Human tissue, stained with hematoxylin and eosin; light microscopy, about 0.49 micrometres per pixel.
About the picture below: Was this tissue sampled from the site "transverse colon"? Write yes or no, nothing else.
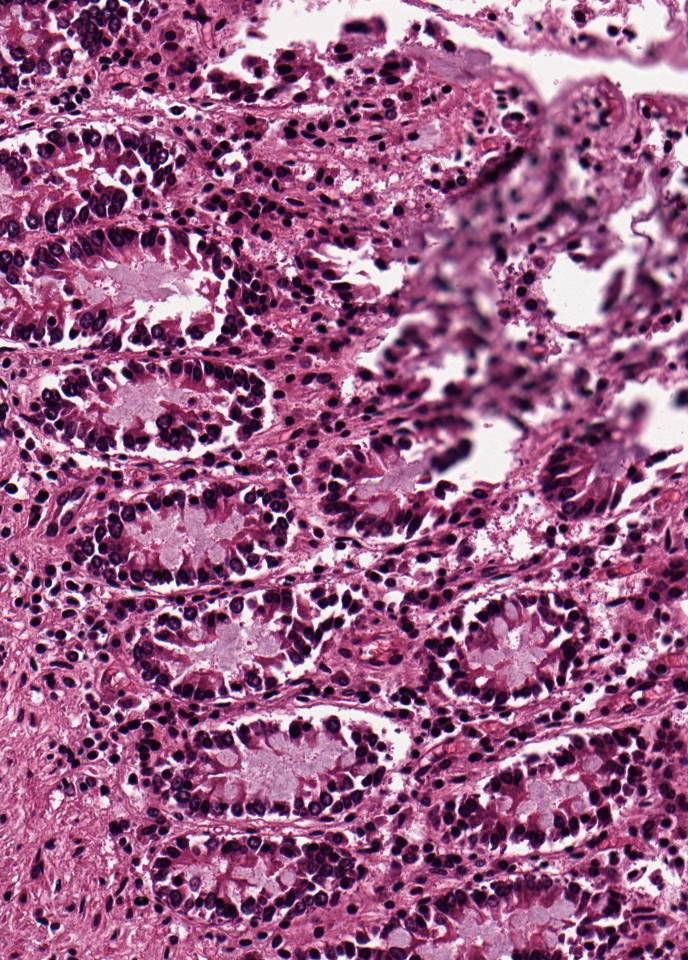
yes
